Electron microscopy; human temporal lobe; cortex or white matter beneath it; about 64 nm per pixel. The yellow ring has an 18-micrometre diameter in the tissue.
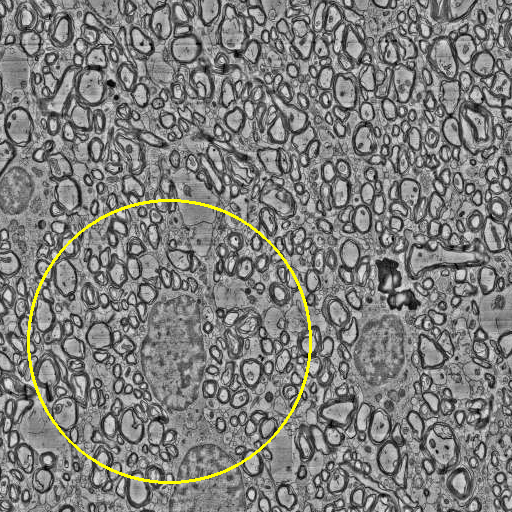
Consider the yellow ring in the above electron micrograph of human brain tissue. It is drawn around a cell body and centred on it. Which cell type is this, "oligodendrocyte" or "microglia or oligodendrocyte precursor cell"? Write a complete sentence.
The cell in question is an oligodendrocyte.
